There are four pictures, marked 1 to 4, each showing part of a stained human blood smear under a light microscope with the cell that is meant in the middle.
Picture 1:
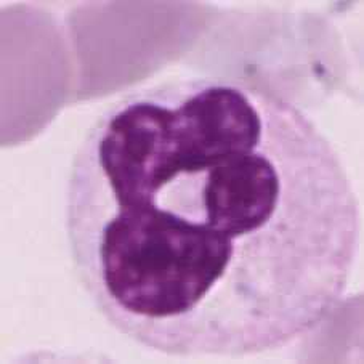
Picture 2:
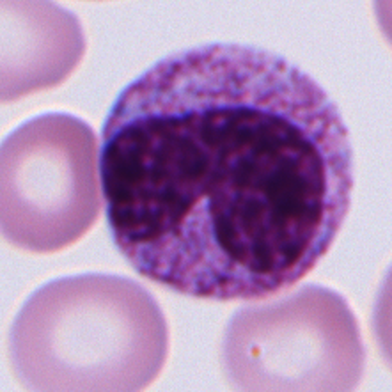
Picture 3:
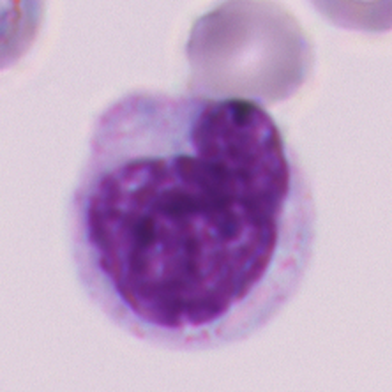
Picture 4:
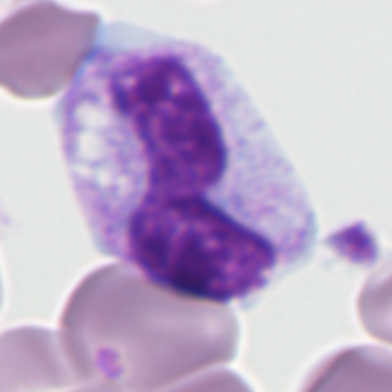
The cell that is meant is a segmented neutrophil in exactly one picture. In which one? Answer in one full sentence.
Picture 1 is the one that shows the segmented neutrophil.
